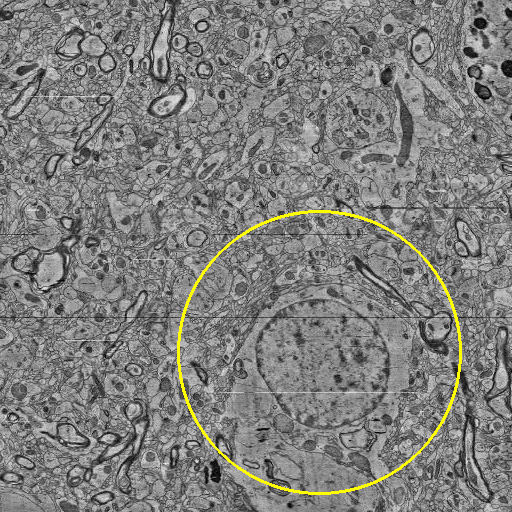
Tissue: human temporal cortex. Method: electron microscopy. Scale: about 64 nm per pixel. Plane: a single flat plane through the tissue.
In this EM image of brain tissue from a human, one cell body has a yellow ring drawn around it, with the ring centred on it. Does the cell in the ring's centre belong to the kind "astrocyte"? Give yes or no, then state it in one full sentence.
Yes, in the picture, the cell centred in the yellow ring belongs to that kind.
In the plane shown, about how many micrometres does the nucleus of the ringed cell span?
About 9 micrometres across in this plane.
